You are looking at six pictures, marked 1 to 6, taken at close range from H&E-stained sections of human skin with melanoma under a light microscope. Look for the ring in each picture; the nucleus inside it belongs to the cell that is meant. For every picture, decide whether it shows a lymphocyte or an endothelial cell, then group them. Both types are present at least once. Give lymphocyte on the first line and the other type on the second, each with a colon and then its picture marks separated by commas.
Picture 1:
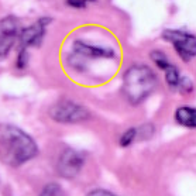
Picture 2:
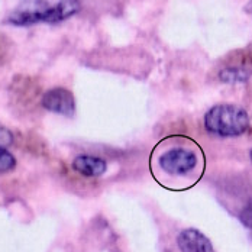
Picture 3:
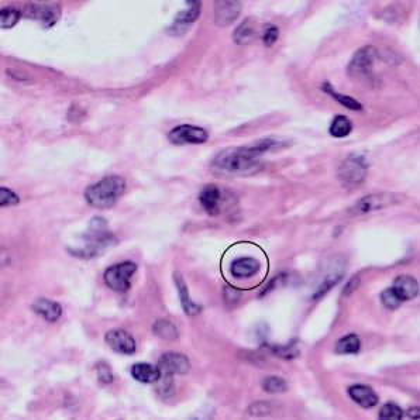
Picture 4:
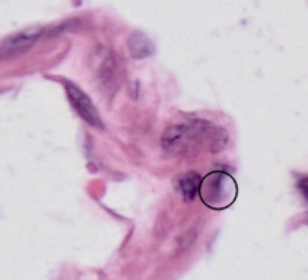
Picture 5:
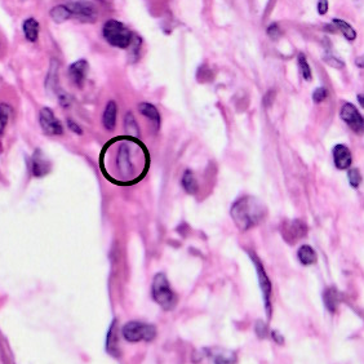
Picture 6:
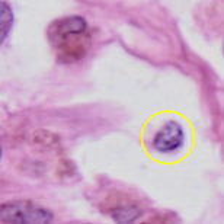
lymphocyte: 2, 3, 6
endothelial cell: 1, 4, 5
